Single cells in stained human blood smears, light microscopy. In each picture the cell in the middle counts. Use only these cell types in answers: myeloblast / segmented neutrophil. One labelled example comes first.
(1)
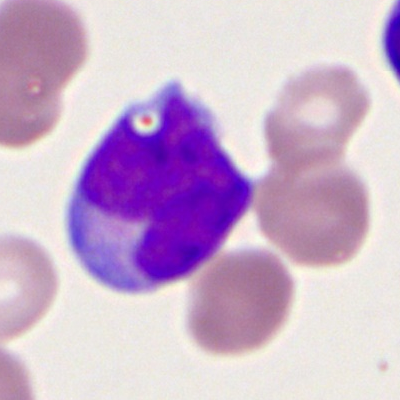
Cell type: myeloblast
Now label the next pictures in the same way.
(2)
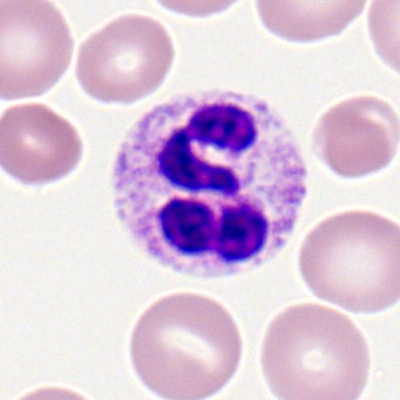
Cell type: segmented neutrophil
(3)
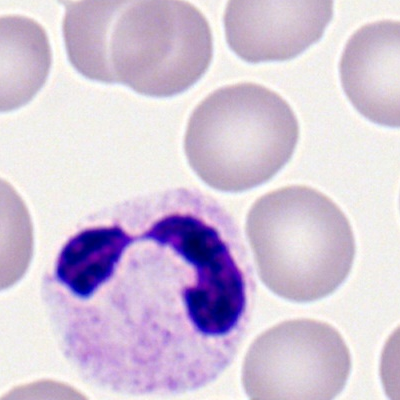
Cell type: segmented neutrophil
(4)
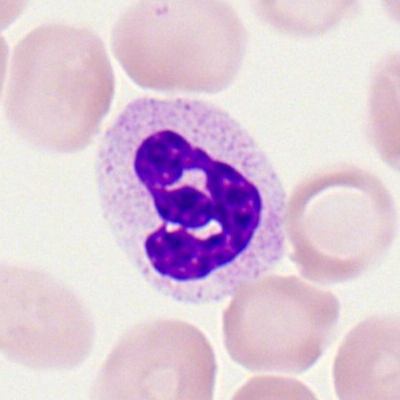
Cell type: segmented neutrophil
